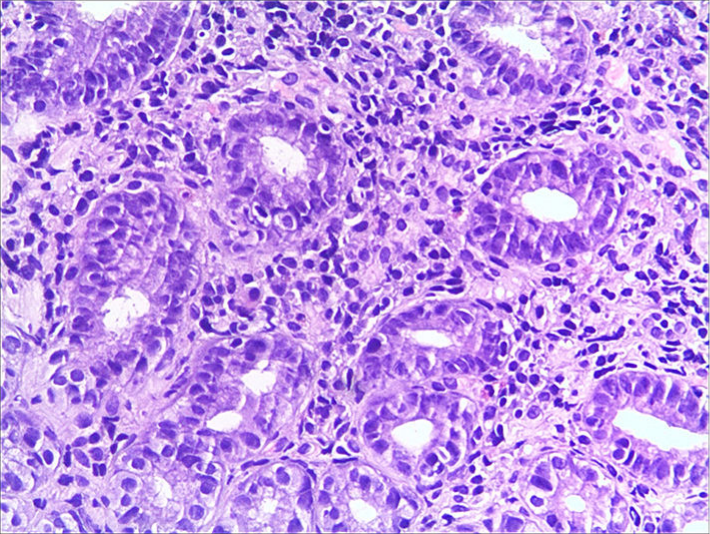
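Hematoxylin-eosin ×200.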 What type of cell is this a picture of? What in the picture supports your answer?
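The stroma between the glands is crowded with small cells with round, dark nuclei and scant cytoplasm. These small round cells far outnumber the spindle-shaped stromal cells. The answer: chronic inflammatory cells.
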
